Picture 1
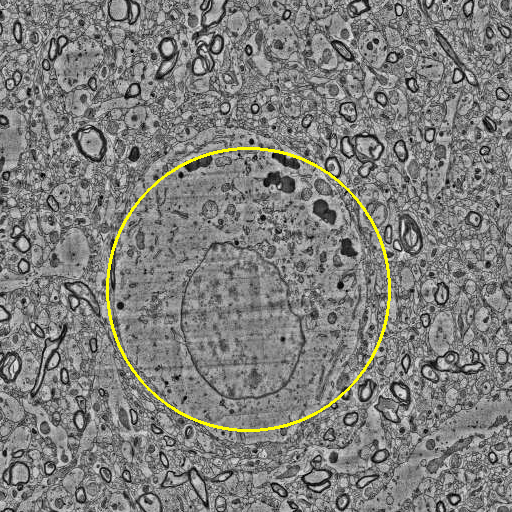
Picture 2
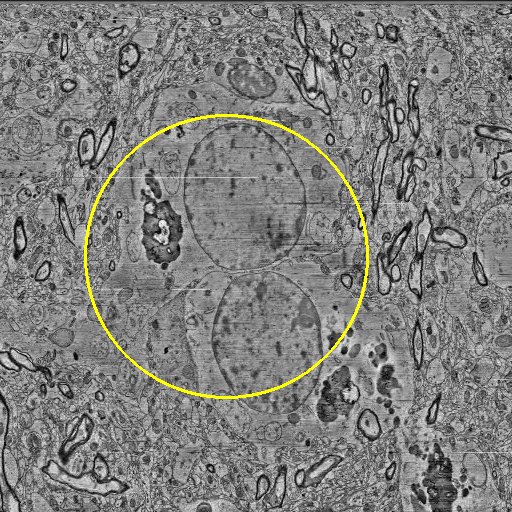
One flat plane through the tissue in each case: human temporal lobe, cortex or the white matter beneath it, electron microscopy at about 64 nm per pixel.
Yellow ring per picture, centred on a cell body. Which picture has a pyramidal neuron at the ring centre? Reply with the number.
1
